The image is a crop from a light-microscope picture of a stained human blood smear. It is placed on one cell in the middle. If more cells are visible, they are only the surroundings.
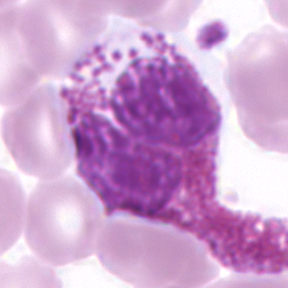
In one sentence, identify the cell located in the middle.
What sits at the centre of this crop is an eosinophil.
